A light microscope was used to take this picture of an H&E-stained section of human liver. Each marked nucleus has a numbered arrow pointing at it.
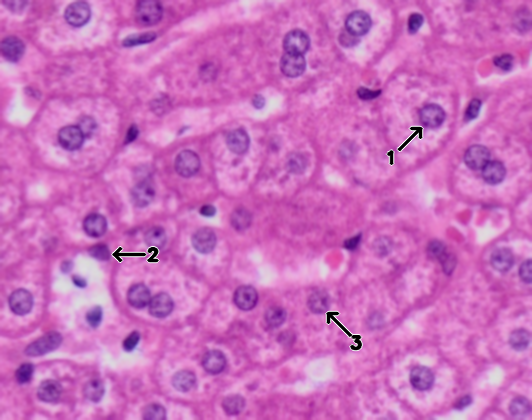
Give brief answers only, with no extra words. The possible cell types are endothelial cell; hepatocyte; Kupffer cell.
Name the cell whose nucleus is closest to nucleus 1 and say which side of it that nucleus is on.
a Kupffer cell; to the right of nucleus 1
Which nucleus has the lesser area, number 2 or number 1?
2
